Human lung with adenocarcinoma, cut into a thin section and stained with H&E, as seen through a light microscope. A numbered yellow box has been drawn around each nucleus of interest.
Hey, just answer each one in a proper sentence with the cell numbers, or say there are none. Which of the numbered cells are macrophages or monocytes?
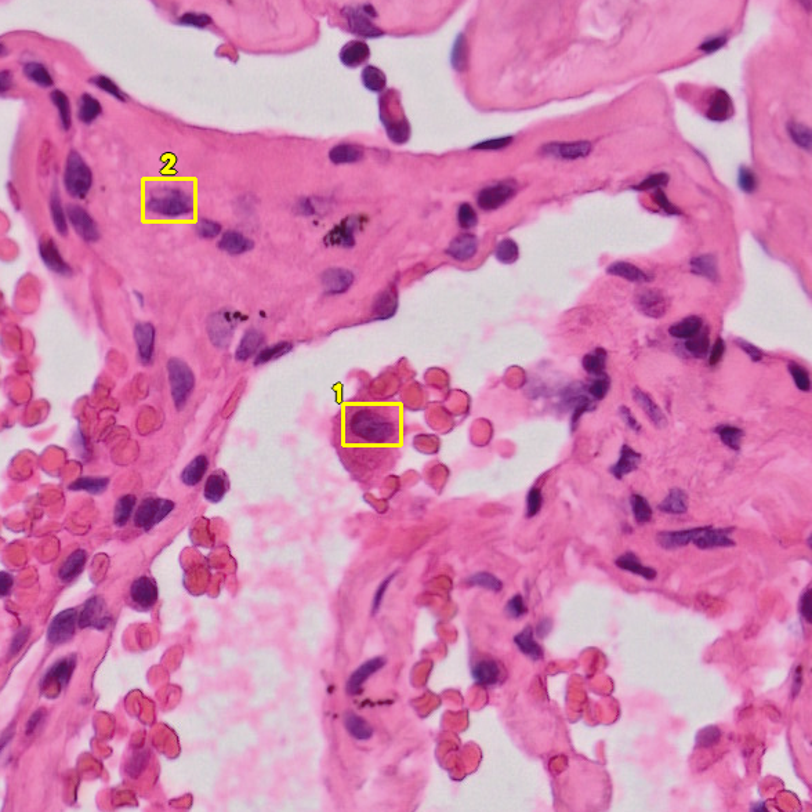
The sole numbered cell that is a macrophage or monocyte is cell 1.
